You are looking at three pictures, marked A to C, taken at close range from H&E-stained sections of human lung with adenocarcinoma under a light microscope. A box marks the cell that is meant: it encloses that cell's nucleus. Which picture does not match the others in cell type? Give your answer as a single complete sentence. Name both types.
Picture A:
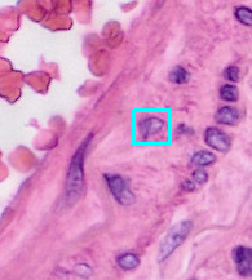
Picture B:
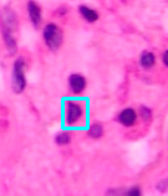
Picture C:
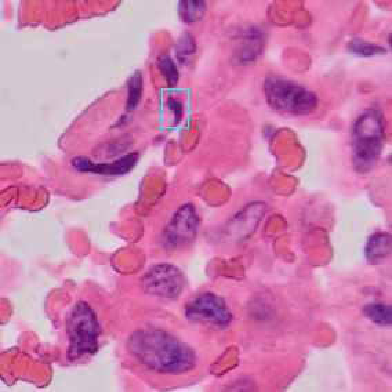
Picture C is the odd one out: it shows an endothelial cell, while the others show “smooth muscle cells or pericytes”.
